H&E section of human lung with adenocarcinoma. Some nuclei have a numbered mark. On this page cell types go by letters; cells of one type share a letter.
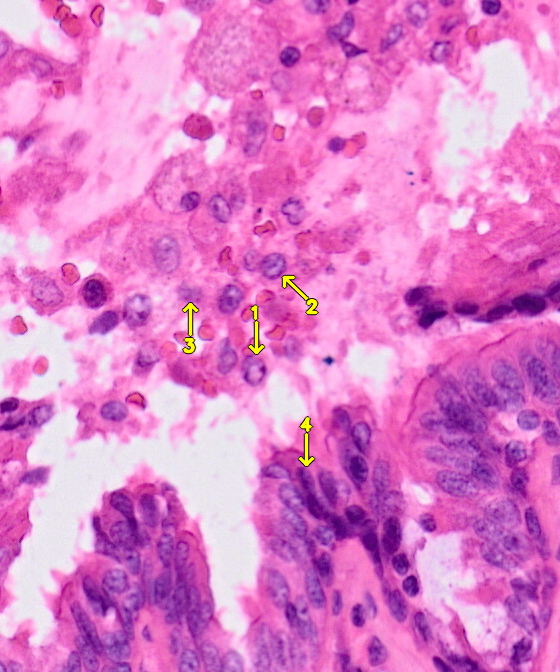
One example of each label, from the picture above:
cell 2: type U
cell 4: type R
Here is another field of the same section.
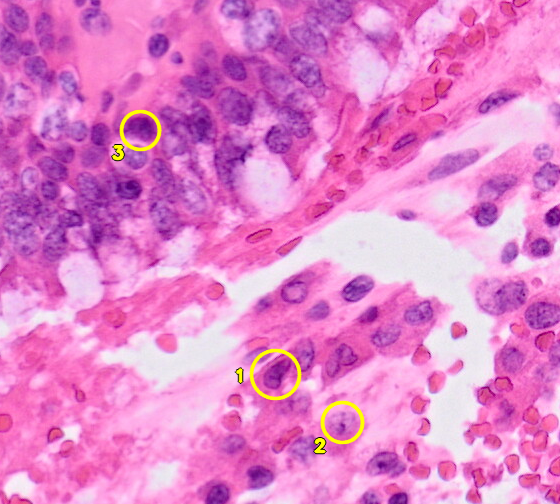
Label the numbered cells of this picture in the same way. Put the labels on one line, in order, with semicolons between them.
type U; type U; type R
